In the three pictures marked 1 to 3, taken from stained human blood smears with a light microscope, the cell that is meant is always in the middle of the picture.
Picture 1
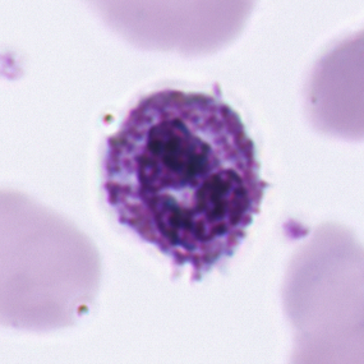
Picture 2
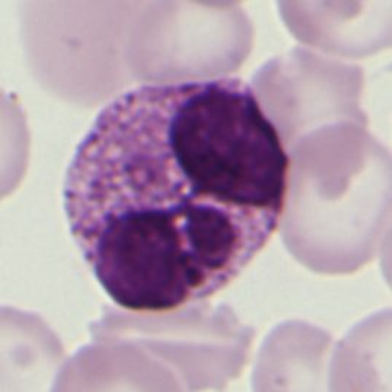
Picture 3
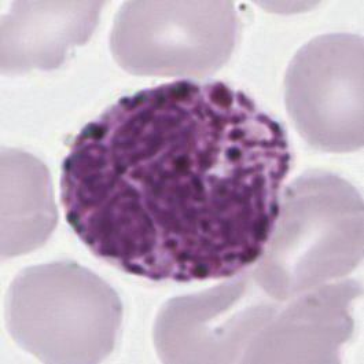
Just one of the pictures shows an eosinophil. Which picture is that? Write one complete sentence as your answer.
The cell in picture 1 is the eosinophil.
